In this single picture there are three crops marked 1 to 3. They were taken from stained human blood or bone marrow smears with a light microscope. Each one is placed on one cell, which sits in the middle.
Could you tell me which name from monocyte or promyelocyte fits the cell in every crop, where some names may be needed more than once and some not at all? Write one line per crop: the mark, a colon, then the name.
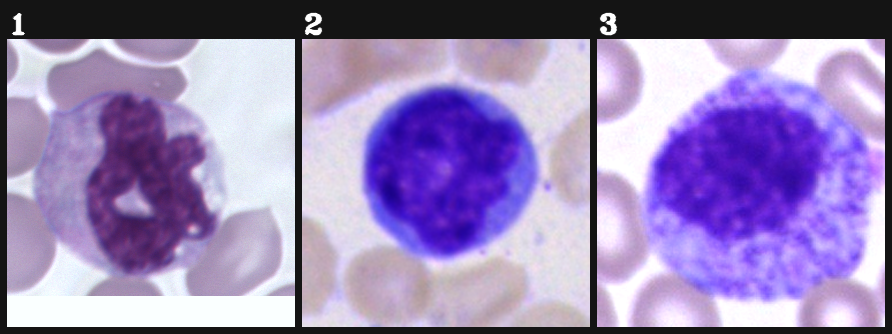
1: monocyte
2: monocyte
3: promyelocyte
